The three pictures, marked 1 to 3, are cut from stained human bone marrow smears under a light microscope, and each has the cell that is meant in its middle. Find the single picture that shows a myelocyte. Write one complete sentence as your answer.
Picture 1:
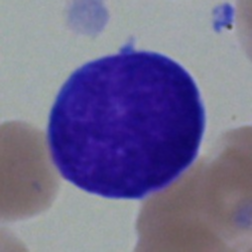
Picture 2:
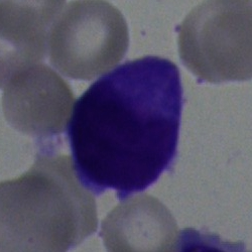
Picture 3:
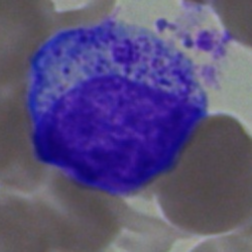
It is picture 3 that shows the myelocyte.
